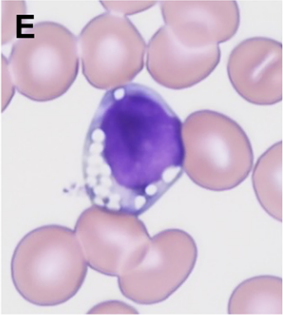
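A peripheral blood smear shows a small lymphocyte surrounded by pink, biconcave red blood cells. Its round, dark purple nucleus fills most of the cell. The thin rim of pale bluish cytoplasm is studded with several clear, sharply outlined round vacuoles.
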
